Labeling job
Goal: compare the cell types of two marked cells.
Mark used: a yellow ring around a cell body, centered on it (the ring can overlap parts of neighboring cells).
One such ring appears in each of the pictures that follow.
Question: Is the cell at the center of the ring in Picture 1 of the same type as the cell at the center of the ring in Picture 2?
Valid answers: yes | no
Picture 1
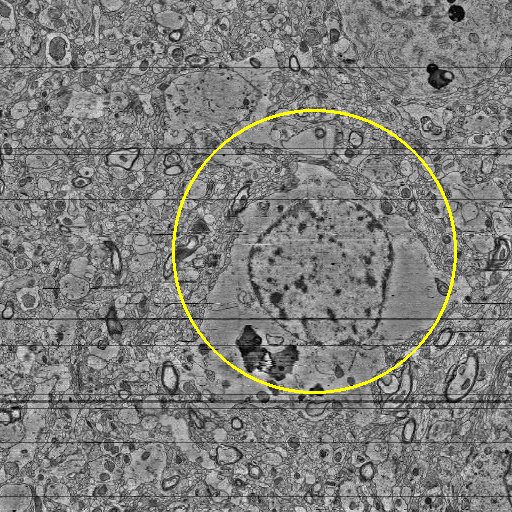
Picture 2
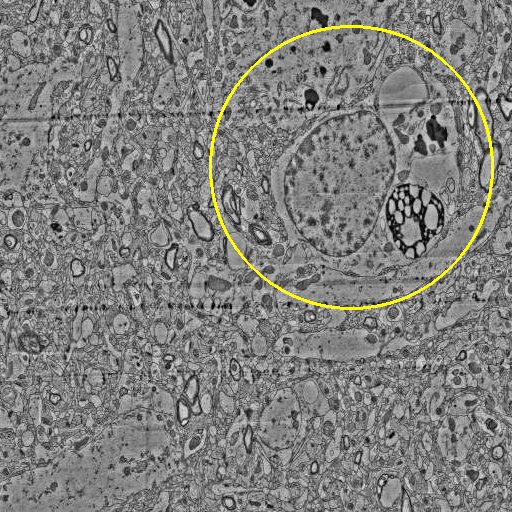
yes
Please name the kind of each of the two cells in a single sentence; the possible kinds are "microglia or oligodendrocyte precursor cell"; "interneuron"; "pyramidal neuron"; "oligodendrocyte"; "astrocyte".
In each of the two pictures, the ringed cell is an astrocyte.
